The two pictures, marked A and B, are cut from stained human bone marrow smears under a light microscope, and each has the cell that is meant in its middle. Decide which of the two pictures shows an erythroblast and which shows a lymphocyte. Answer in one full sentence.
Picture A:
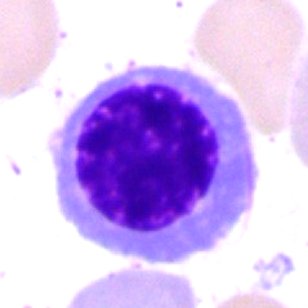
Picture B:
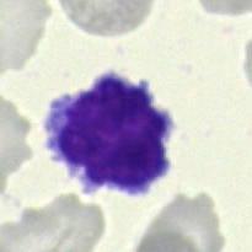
The cell in picture A is an erythroblast, and the one in picture B is a lymphocyte.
